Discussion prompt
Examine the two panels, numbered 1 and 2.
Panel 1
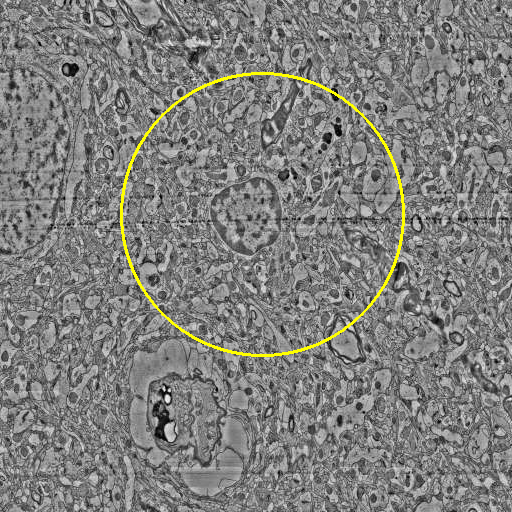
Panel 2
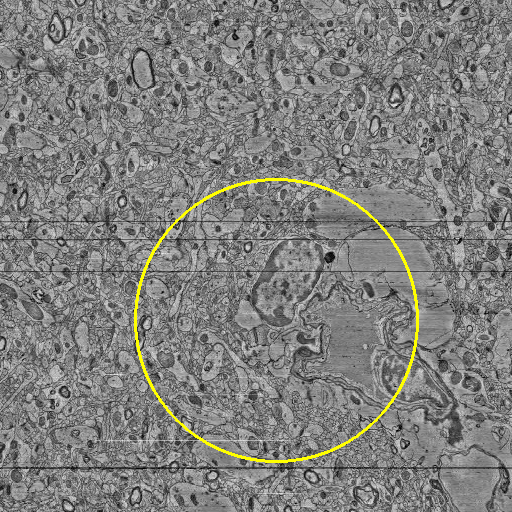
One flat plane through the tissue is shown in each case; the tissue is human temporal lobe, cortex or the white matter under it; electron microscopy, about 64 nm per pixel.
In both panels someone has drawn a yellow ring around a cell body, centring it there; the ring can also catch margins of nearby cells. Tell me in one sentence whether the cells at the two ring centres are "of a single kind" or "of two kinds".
Taken together, the two cells centred in the rings of Panels 1 and 2 are of a single kind.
